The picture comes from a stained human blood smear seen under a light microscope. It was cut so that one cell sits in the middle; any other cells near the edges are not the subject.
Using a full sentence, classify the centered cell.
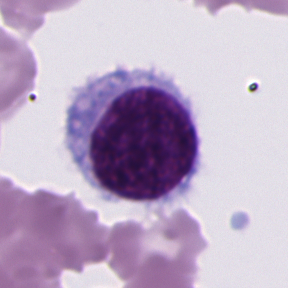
Occupying the centre of the crop is a hairy cell.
